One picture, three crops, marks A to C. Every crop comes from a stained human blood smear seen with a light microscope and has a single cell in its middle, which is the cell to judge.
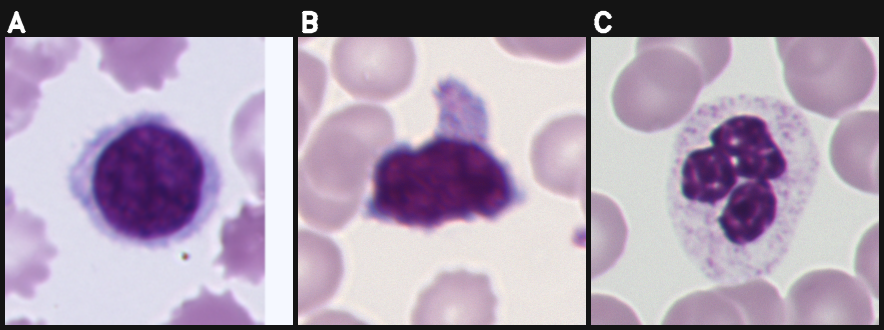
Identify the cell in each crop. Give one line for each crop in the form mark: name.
A: hairy cell
B: typical lymphocyte
C: segmented neutrophil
